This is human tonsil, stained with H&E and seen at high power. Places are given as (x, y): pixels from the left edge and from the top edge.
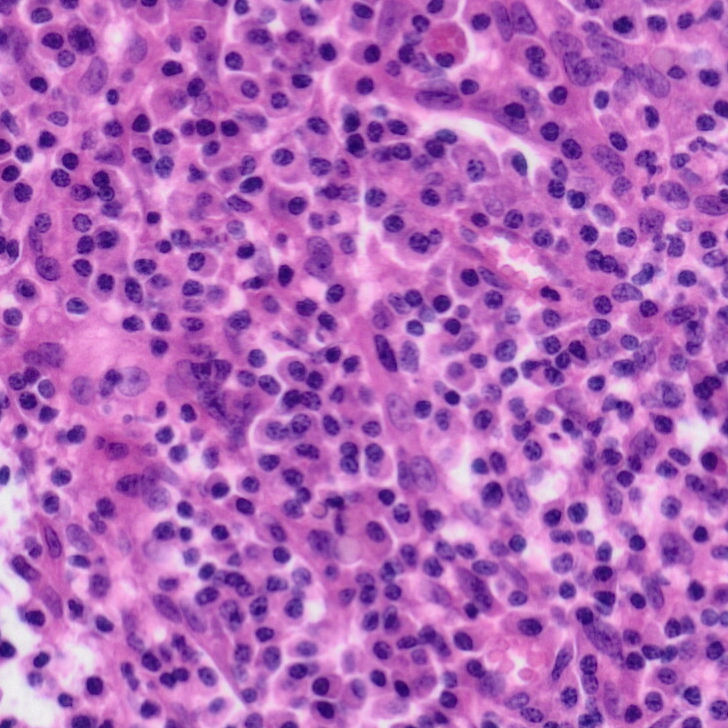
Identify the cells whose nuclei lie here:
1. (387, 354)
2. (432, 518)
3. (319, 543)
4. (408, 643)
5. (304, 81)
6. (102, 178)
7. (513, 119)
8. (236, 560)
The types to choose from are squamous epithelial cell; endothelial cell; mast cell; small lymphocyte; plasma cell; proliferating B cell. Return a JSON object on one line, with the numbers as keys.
{"1": "squamous epithelial cell", "2": "squamous epithelial cell", "3": "squamous epithelial cell", "4": "plasma cell", "5": "plasma cell", "6": "plasma cell", "7": "squamous epithelial cell", "8": "plasma cell"}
